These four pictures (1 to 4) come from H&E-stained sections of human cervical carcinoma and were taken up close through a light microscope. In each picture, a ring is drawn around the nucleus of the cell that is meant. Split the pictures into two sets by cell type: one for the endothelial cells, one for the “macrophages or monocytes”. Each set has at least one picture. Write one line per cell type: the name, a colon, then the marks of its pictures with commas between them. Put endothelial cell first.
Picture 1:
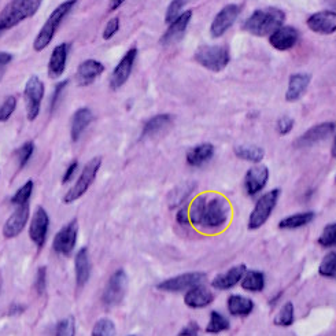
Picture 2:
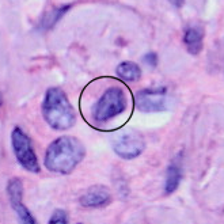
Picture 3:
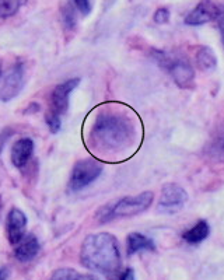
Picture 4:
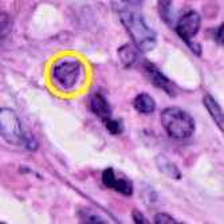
endothelial cell: 1, 2
macrophage or monocyte: 3, 4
